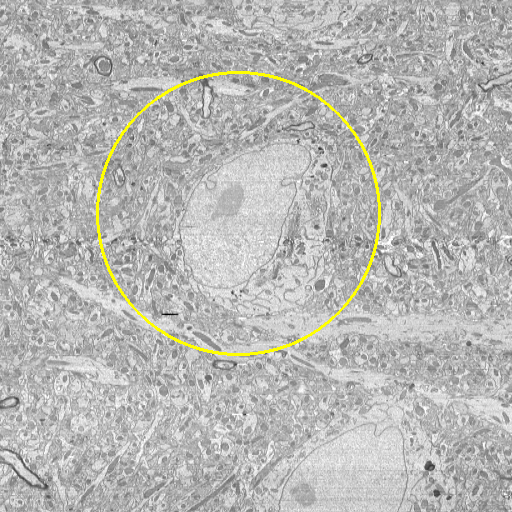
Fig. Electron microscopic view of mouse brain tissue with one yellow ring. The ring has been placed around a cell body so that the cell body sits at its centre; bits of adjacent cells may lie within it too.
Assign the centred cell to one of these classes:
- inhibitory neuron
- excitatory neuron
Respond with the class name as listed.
inhibitory neuron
